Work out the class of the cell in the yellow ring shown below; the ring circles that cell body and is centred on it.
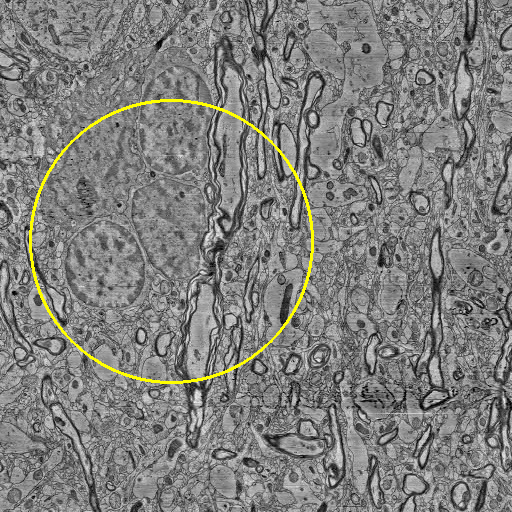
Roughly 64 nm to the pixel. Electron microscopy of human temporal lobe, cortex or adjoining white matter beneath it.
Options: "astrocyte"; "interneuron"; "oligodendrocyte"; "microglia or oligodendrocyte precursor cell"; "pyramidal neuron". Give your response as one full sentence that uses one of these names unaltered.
The body ringed in yellow, right at the ring's centre, is that of an oligodendrocyte.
